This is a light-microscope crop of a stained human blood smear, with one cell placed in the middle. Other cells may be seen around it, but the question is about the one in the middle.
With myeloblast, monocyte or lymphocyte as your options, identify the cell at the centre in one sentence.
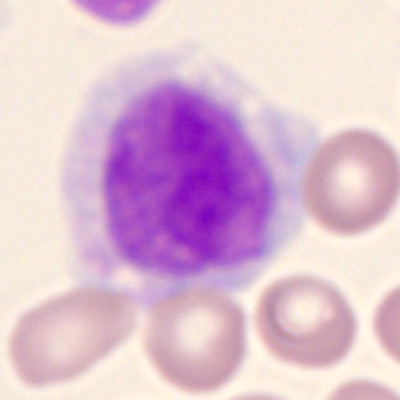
The cell of interest, in the center, is a monocyte.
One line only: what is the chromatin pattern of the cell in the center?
Heads up, the chromatin is fine with no coarse clumps in it.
